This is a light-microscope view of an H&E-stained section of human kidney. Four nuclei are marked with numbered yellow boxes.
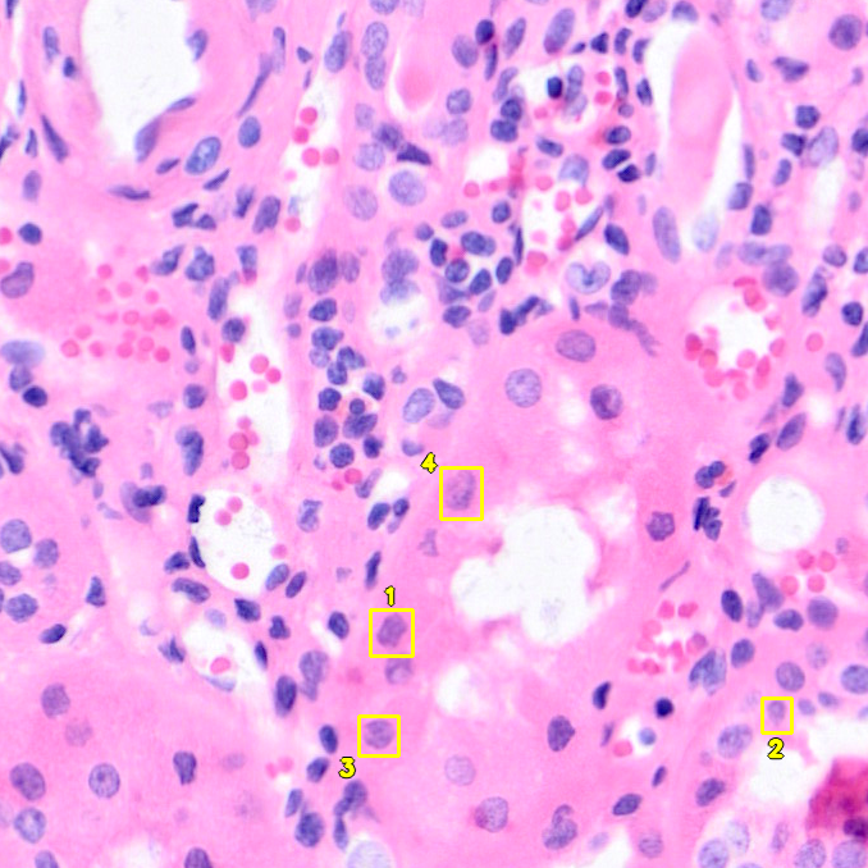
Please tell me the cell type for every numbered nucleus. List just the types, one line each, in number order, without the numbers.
proximal tubule cell
collecting duct cell
proximal tubule cell
proximal tubule cell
